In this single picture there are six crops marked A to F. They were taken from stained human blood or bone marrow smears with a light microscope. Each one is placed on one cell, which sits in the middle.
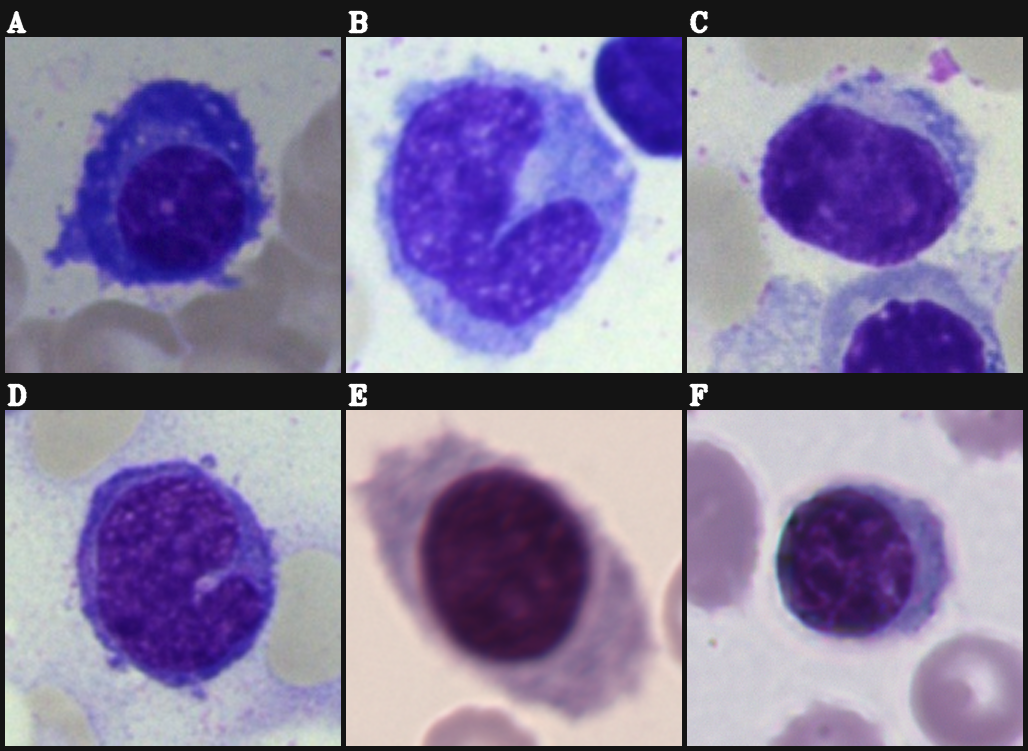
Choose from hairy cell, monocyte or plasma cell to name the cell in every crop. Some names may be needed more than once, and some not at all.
A: plasma cell
B: monocyte
C: hairy cell
D: monocyte
E: hairy cell
F: plasma cell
